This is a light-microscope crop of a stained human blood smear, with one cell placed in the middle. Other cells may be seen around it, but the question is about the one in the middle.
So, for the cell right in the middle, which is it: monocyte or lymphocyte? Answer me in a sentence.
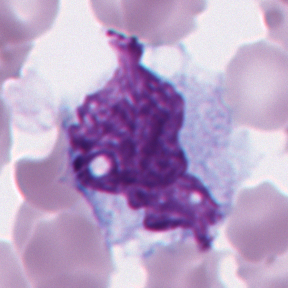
The crop shows a monocyte in its centre.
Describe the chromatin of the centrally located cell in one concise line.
Its nuclear chromatin is gathered into coarse clumps.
